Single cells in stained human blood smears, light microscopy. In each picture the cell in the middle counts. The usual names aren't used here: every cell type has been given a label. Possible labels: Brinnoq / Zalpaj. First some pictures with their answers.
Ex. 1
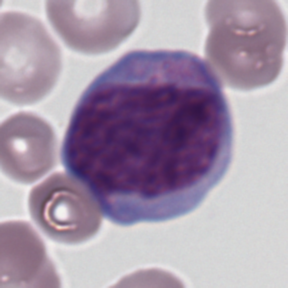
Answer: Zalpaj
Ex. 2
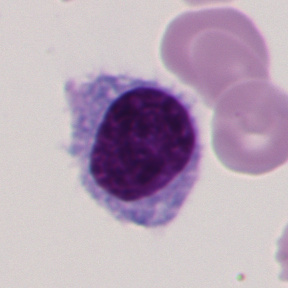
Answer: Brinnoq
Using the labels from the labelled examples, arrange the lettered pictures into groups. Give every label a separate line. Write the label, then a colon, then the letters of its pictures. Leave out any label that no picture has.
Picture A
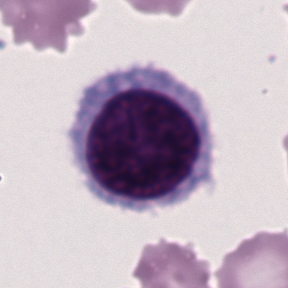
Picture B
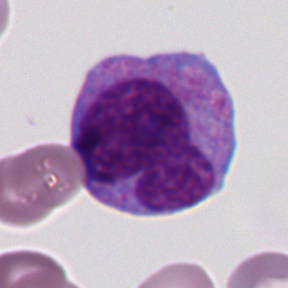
Brinnoq: A
Zalpaj: B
